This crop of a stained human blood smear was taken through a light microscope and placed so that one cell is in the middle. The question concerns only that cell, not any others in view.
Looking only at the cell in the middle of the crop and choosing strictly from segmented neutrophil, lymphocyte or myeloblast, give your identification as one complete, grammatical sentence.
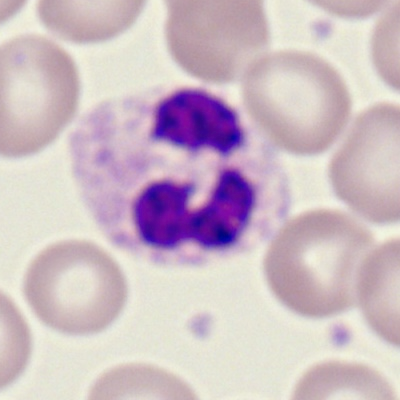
The cell around which this crop is centred is a segmented neutrophil.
